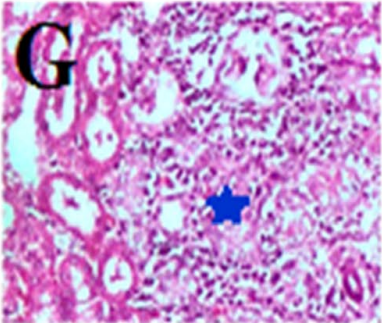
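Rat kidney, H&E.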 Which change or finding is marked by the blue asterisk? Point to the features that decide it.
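A focal area is crowded with small dark round nuclei. Tubules are lost in this area while intact tubules lie at its edge.
Answer: infiltration of mononuclear cells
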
